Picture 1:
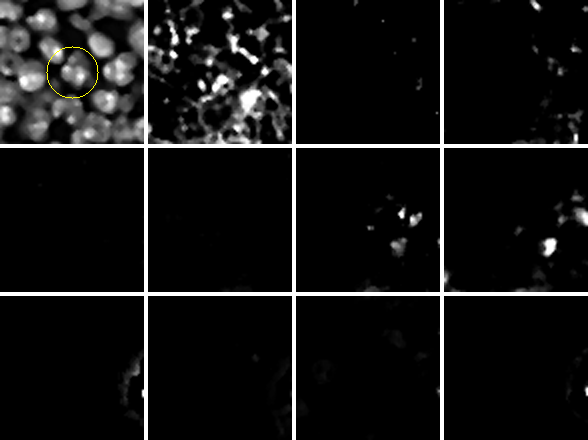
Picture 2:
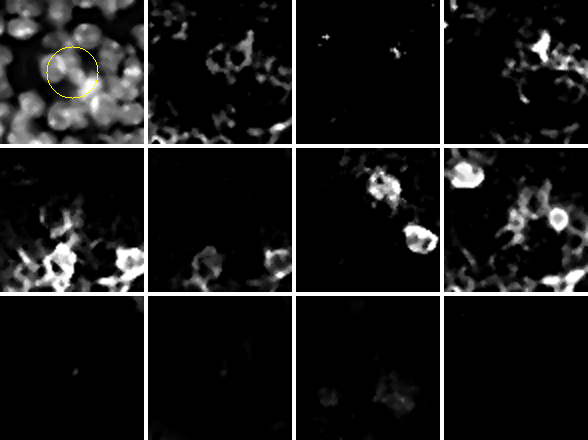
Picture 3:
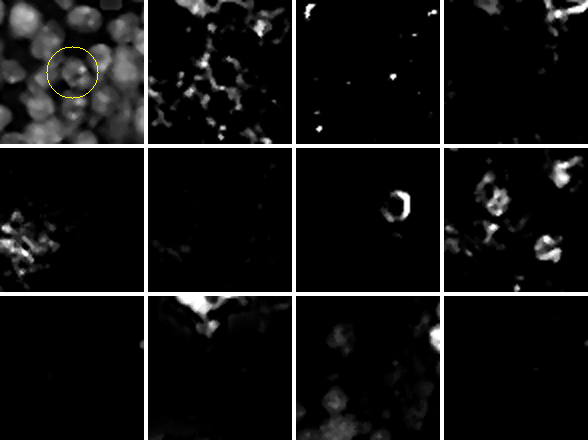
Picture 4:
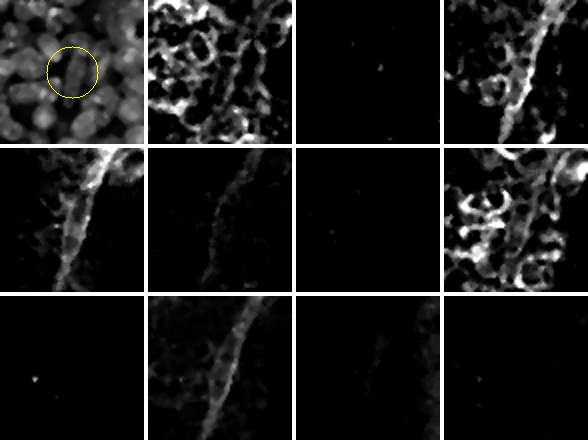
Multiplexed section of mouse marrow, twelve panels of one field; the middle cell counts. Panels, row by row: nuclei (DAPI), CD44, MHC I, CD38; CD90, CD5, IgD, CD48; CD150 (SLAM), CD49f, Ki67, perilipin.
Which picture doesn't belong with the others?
Picture 4.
